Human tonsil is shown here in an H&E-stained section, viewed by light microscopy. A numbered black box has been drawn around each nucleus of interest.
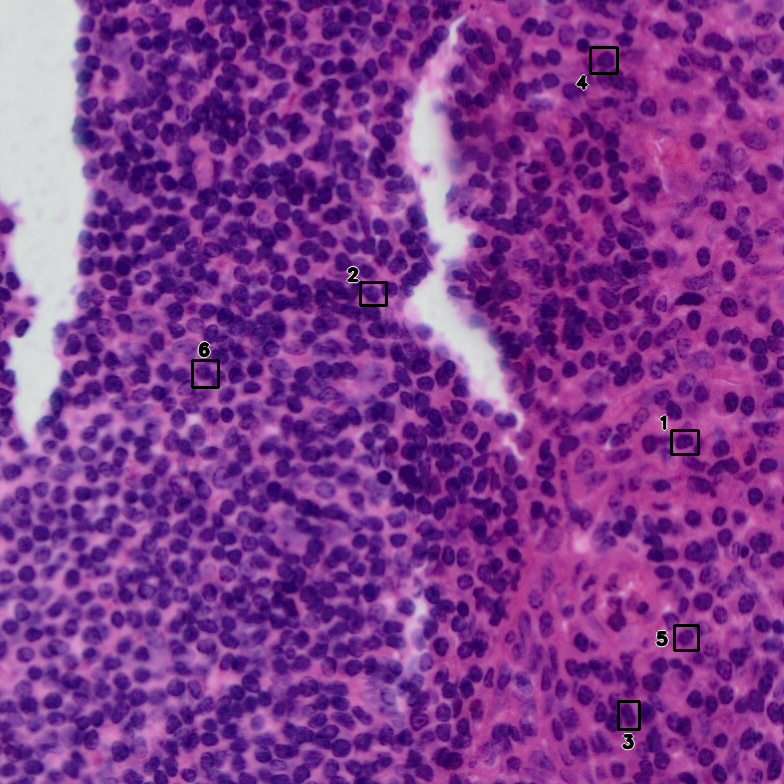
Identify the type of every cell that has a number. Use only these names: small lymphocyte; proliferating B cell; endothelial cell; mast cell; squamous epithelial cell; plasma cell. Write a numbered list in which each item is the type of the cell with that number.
1. plasma cell
2. small lymphocyte
3. plasma cell
4. plasma cell
5. plasma cell
6. small lymphocyte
